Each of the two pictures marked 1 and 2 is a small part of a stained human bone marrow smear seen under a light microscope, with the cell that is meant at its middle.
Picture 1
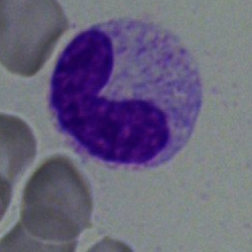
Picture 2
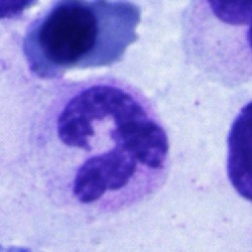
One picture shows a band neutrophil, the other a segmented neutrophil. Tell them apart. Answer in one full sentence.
Picture 1 is of a band neutrophil, and picture 2 is of a segmented neutrophil.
